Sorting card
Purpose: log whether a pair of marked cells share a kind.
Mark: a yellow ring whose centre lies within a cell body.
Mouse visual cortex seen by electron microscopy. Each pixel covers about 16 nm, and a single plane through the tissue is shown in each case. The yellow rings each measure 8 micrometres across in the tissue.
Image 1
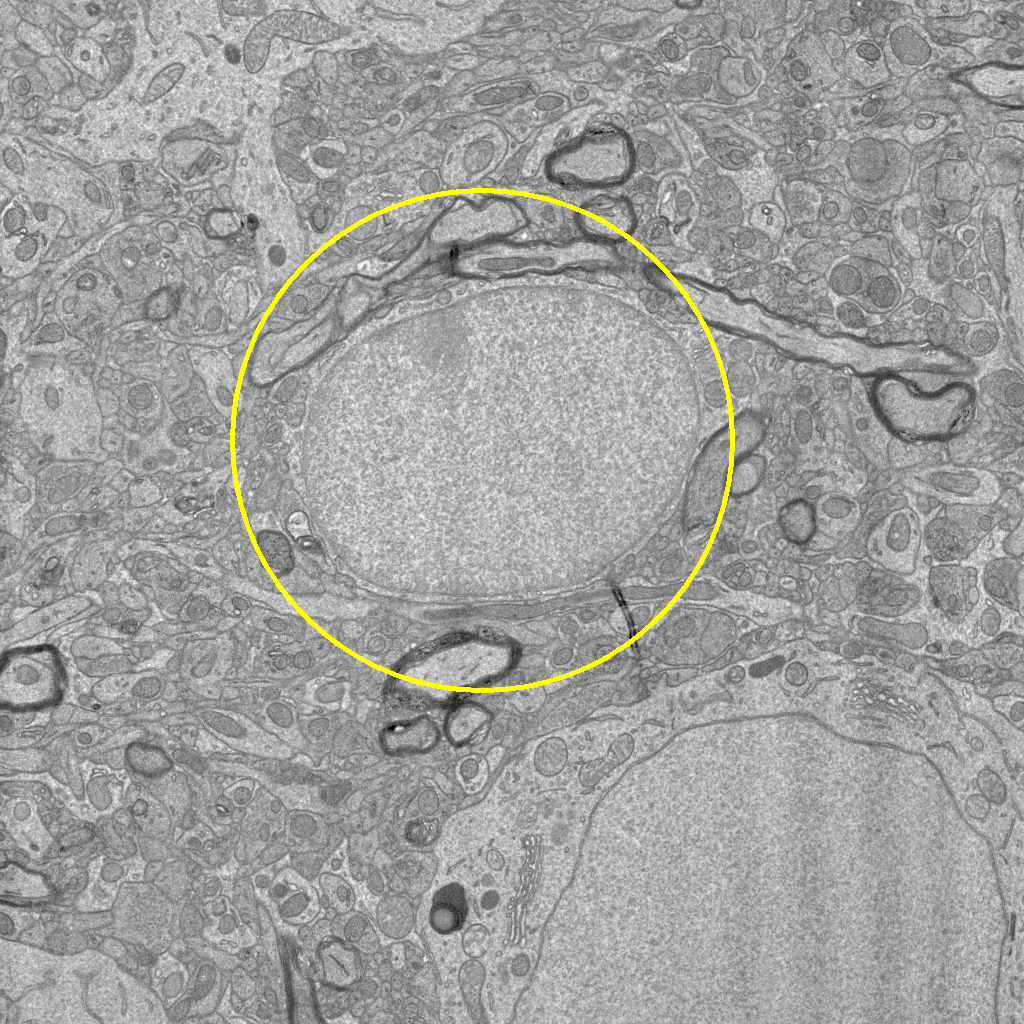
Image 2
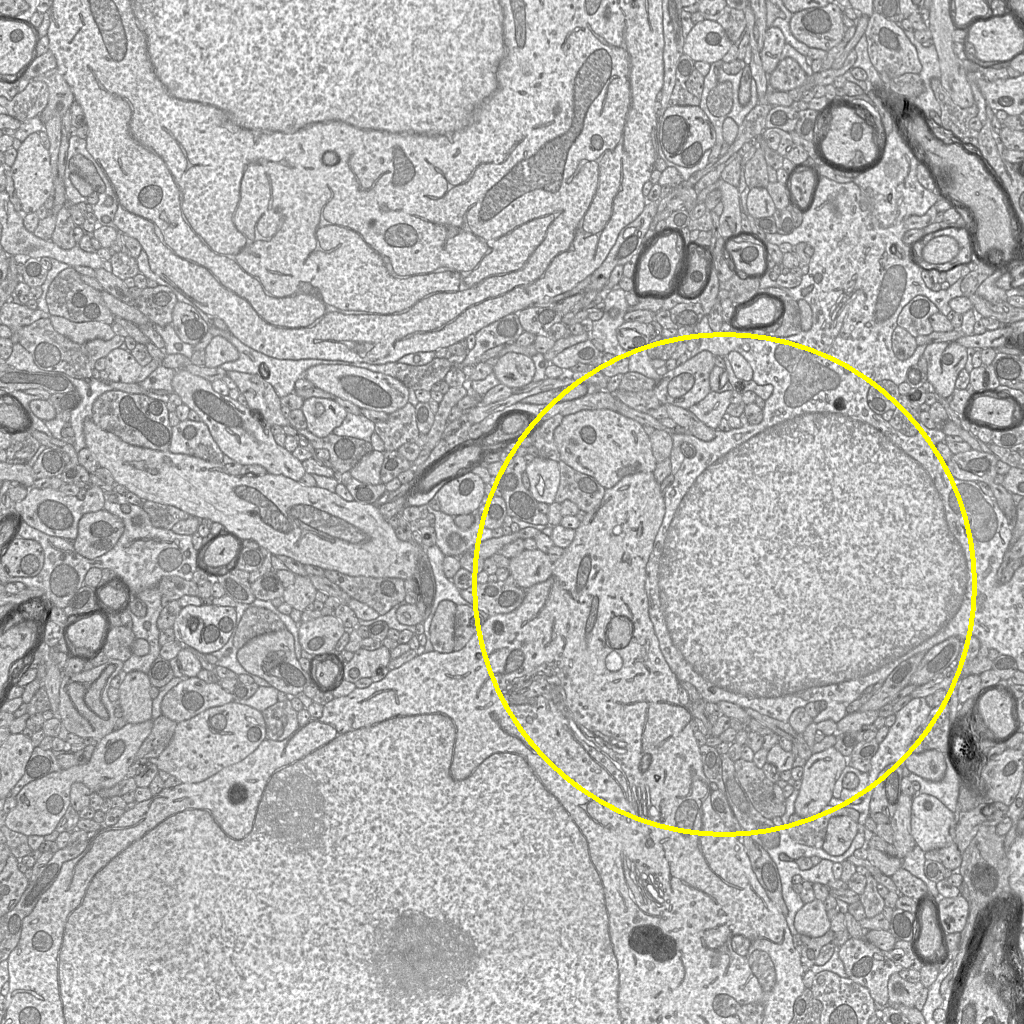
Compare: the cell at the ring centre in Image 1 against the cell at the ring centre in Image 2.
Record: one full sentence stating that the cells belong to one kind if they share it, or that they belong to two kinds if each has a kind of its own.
Across Images 1 and 2, the two cells at the ring centres belong to one kind.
